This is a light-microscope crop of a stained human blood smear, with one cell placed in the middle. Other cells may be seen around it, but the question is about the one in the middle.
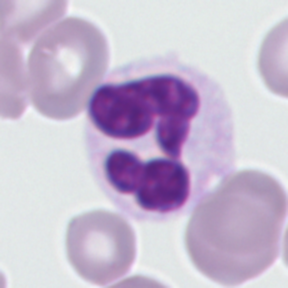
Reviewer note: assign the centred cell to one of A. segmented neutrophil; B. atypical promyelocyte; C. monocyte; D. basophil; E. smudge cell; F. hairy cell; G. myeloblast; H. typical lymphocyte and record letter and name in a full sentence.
The cell positioned centrally is a segmented neutrophil, as given in option A, which is correct.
